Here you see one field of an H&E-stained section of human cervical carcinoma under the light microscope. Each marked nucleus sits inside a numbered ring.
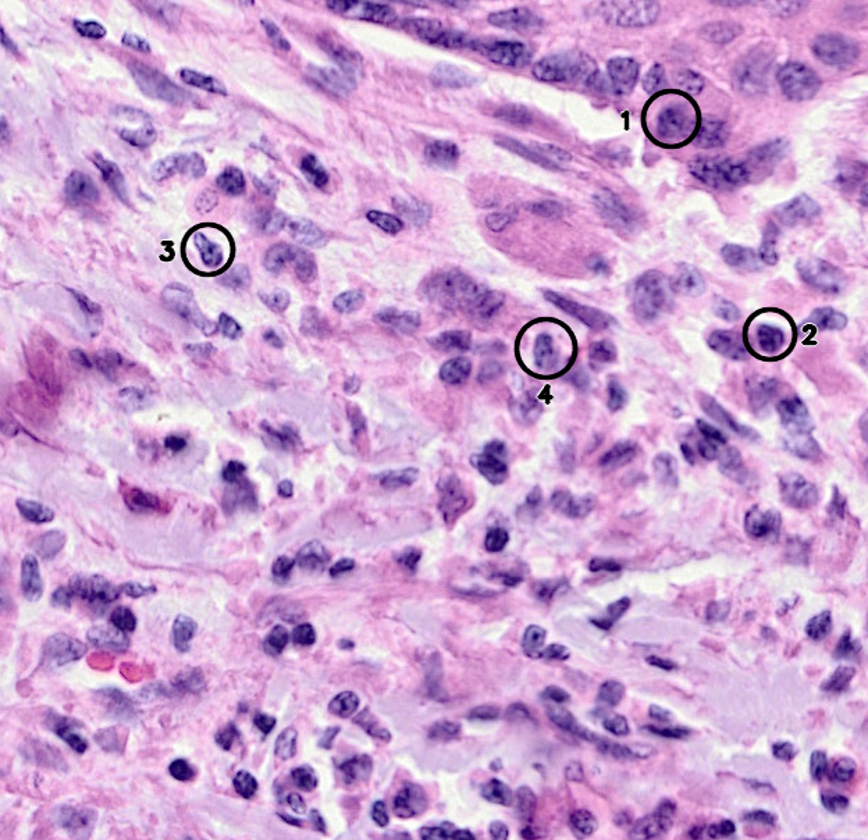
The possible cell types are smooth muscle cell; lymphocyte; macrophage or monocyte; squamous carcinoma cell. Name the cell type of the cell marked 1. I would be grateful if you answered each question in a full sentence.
Of the numbered cells, the one labelled 1 is a squamous carcinoma cell.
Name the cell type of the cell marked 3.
The one numbered 3 among the marked cells is a lymphocyte.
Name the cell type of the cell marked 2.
Cell 2 in the field is a lymphocyte.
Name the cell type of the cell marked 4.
The cell given label 4 is a lymphocyte.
